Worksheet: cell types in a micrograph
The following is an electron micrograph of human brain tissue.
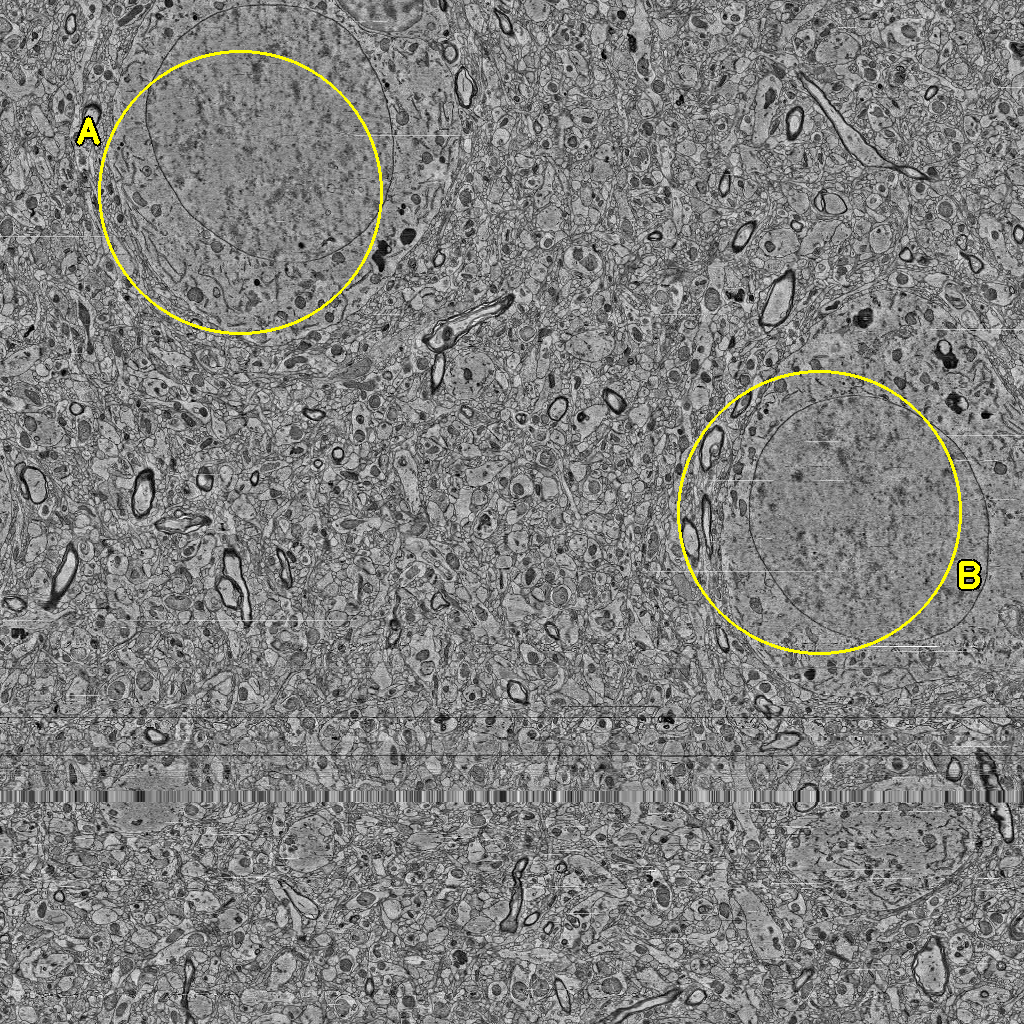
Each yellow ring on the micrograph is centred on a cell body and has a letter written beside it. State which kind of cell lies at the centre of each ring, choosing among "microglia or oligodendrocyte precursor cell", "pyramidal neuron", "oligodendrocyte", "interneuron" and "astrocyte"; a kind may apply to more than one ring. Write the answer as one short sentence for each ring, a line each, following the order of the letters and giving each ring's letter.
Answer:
Ring A has a pyramidal neuron in its centre.
Ring B has a pyramidal neuron in its centre.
